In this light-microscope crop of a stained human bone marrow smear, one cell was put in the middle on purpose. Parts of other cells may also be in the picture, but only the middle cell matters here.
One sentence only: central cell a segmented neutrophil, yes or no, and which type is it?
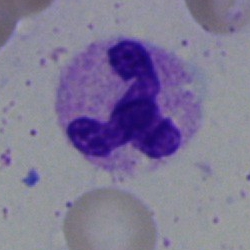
Yes, the centre of the crop holds a segmented neutrophil.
